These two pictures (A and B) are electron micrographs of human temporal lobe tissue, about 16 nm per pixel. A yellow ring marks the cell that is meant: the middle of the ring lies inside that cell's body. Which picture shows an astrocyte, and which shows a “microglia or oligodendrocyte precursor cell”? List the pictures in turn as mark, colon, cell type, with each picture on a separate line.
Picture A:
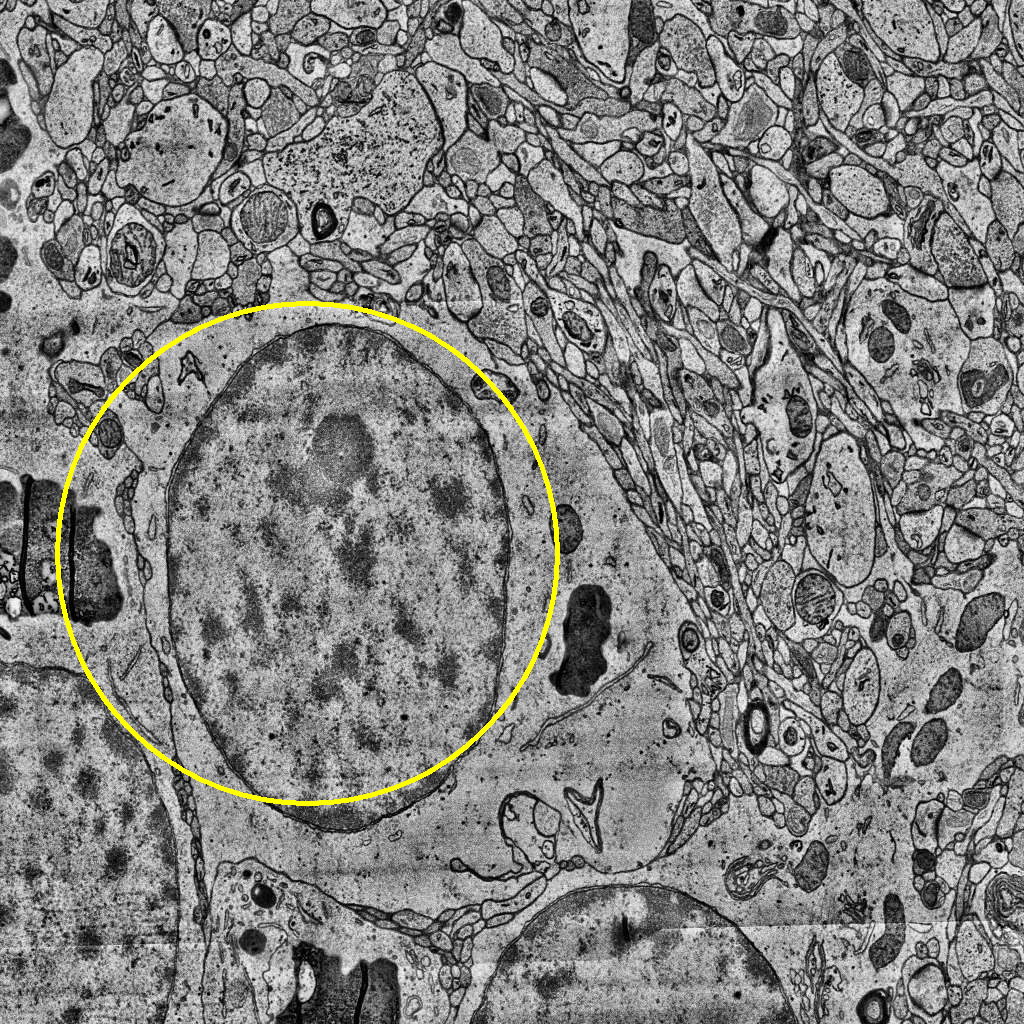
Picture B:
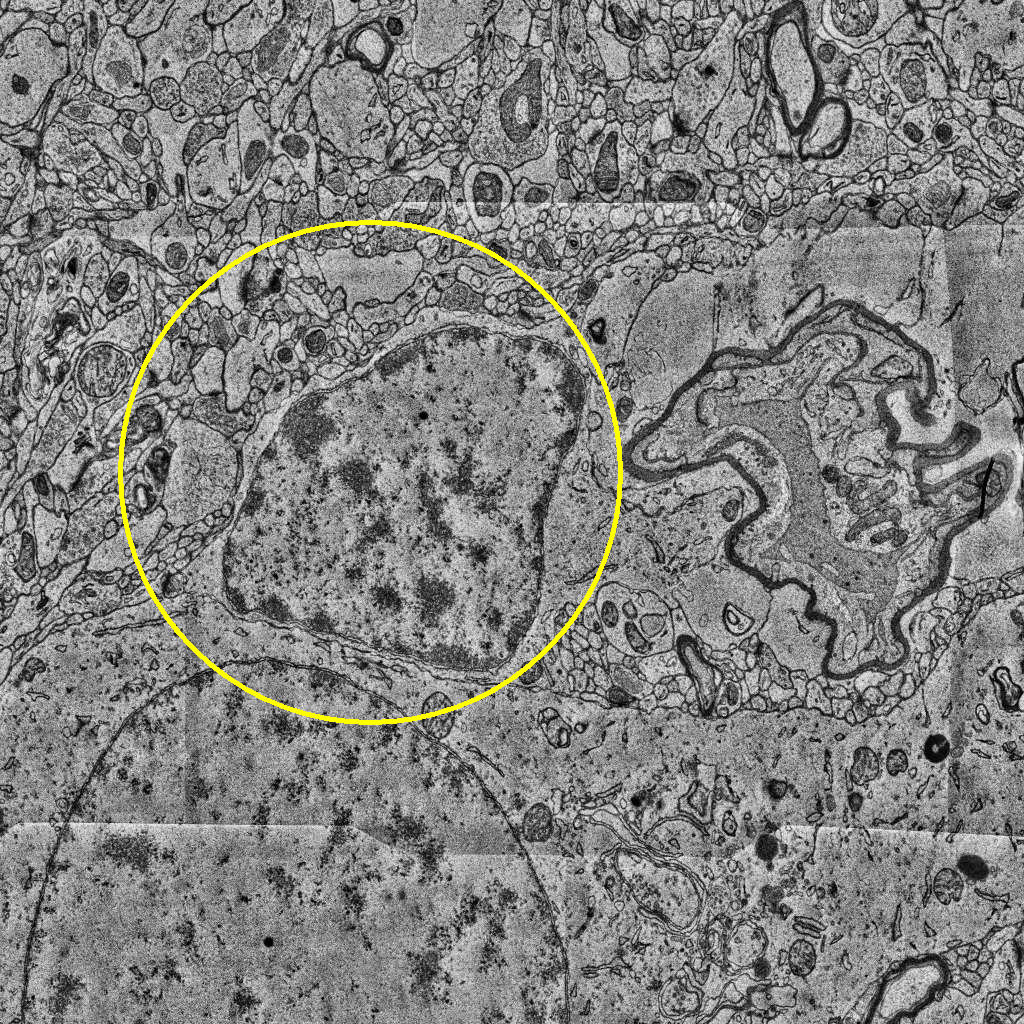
A: astrocyte
B: microglia or oligodendrocyte precursor cell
